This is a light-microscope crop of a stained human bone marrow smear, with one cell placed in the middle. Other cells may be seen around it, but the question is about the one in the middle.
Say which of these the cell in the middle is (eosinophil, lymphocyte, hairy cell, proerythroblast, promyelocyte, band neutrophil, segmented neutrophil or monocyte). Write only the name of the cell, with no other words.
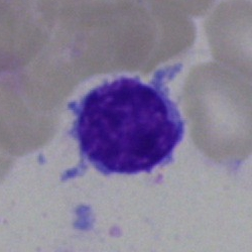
lymphocyte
